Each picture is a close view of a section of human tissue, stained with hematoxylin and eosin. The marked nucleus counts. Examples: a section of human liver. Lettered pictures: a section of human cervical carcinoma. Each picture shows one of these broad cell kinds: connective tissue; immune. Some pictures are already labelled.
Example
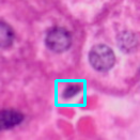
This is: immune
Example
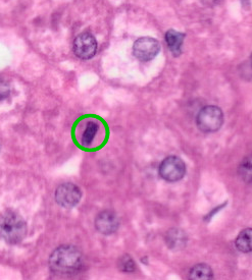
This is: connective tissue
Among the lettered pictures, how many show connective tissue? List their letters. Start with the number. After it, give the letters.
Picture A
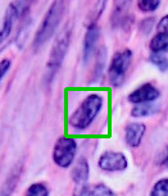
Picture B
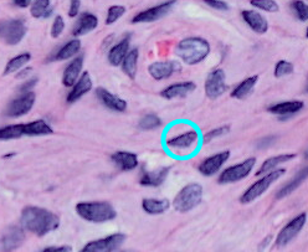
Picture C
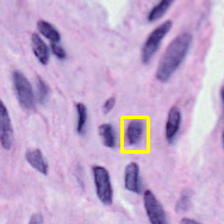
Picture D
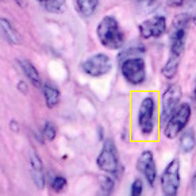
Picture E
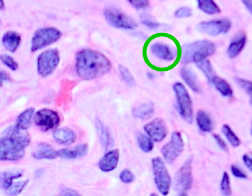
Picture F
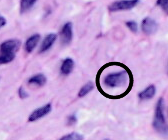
4: B, C, E, F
